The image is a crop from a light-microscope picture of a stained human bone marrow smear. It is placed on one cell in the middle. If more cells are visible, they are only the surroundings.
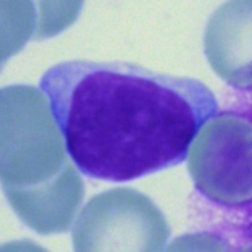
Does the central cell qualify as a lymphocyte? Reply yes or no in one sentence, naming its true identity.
Yes, the central cell here is a lymphocyte.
